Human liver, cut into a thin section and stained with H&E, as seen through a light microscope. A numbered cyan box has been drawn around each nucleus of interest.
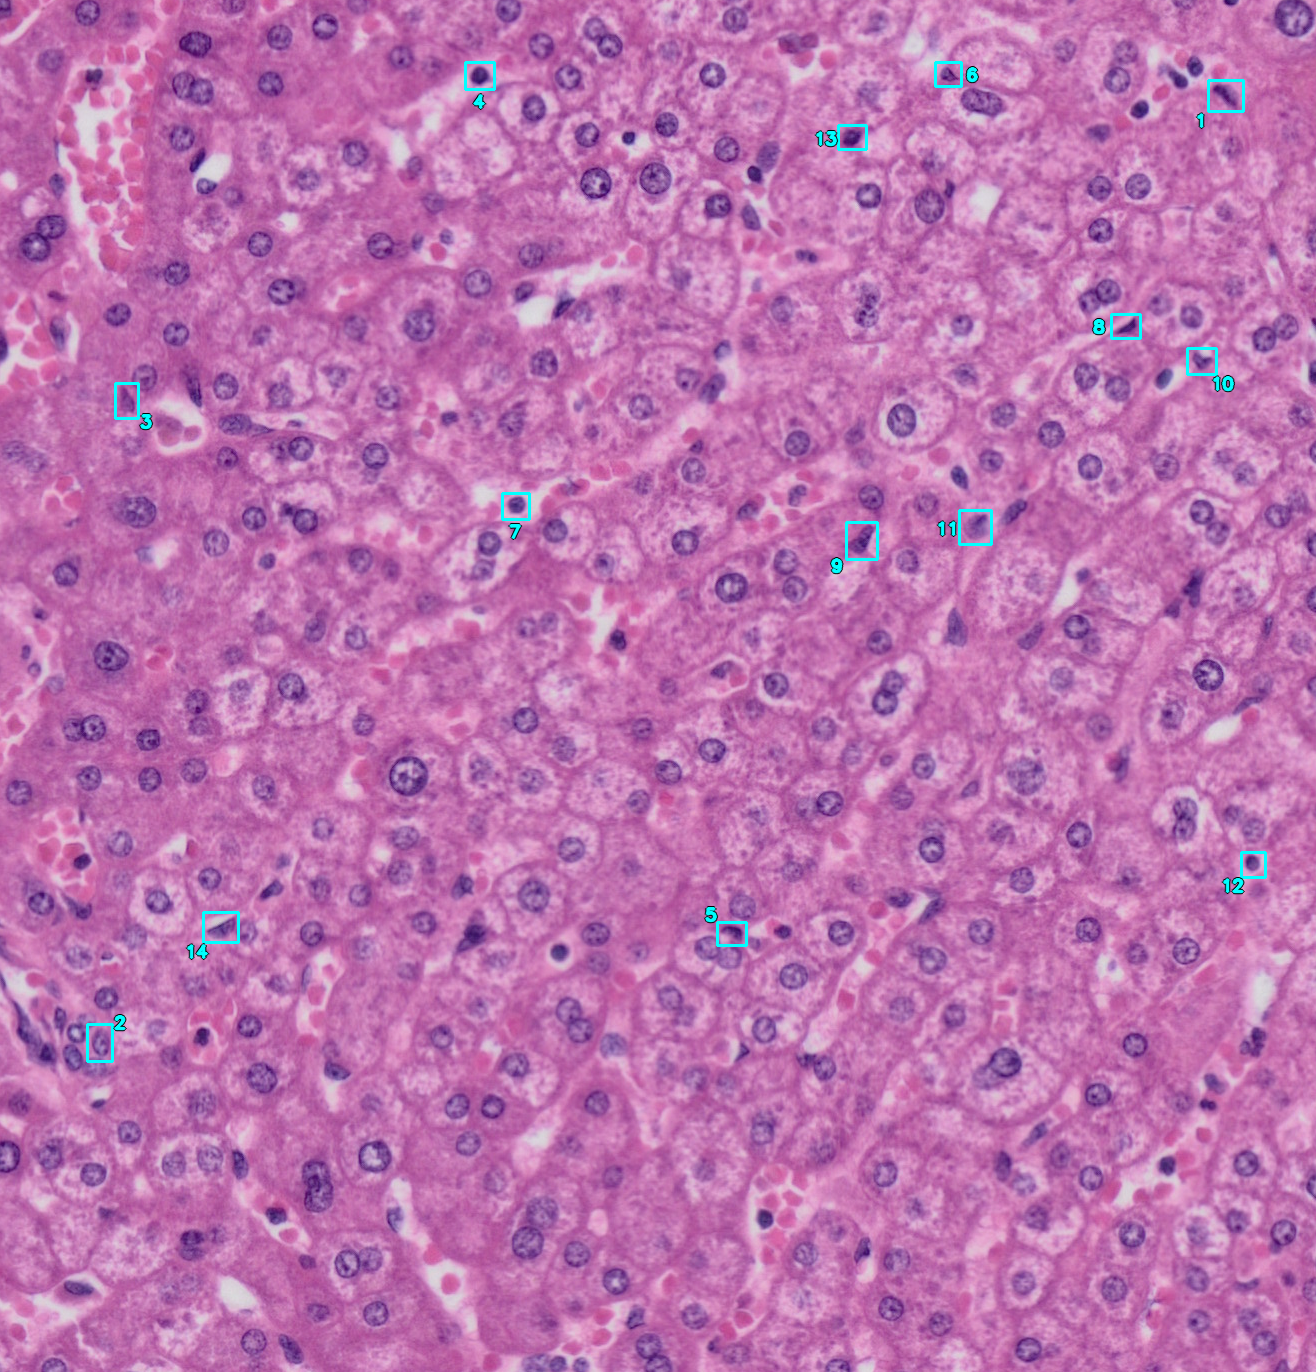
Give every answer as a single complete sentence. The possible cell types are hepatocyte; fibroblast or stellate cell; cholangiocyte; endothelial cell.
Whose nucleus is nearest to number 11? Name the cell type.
The nucleus nearest to number 11 is that of a fibroblast or stellate cell.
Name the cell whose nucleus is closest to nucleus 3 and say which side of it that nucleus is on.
The closest nucleus belongs to a hepatocyte and sits above and to the right of nucleus 3.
